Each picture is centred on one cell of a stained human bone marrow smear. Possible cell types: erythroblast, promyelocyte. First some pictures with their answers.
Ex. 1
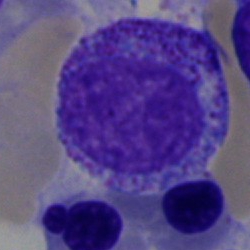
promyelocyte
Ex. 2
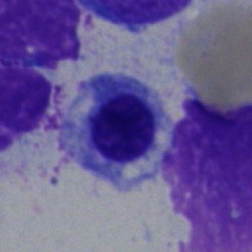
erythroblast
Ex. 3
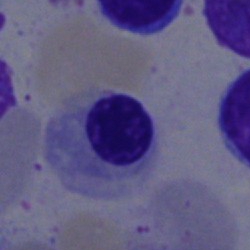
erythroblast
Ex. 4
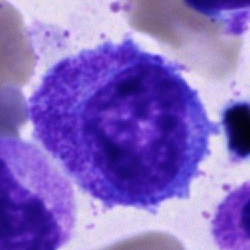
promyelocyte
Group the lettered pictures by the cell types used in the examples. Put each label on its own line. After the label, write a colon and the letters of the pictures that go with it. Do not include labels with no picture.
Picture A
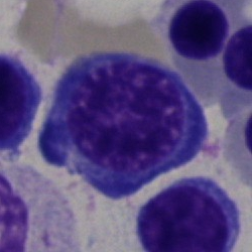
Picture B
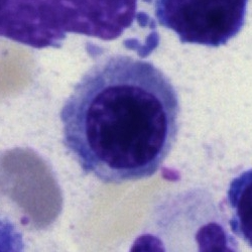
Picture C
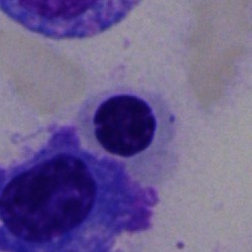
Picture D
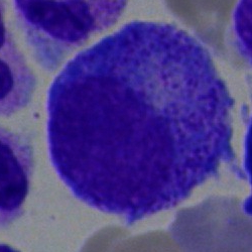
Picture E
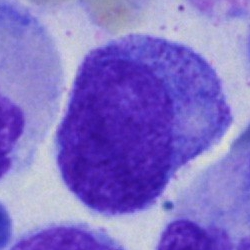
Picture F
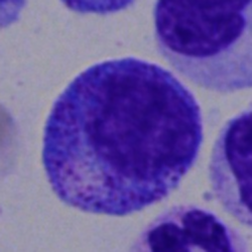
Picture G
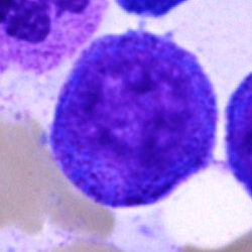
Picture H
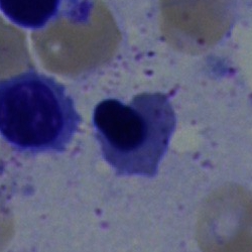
erythroblast: A, B, C, H
promyelocyte: D, E, F, G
